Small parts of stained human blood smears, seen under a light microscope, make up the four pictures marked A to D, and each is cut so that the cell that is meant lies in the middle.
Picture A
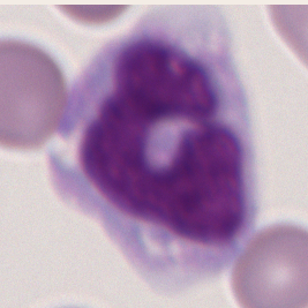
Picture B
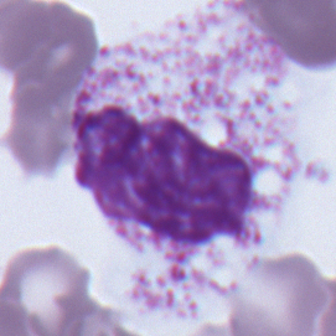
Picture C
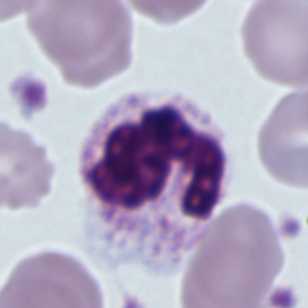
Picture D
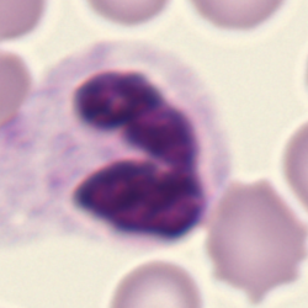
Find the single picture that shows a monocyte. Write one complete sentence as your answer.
It is picture A that shows the monocyte.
